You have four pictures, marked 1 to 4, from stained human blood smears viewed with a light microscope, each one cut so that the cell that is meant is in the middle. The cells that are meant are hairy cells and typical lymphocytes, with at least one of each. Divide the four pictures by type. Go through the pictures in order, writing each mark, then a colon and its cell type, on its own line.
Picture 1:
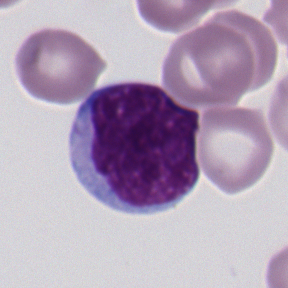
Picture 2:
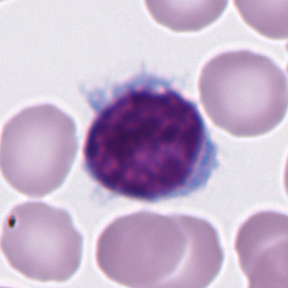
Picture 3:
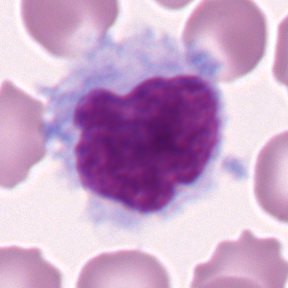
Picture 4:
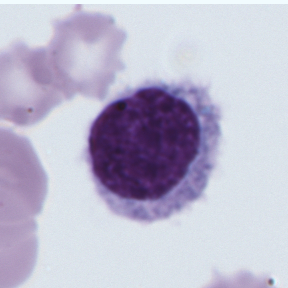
1: typical lymphocyte
2: hairy cell
3: hairy cell
4: hairy cell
